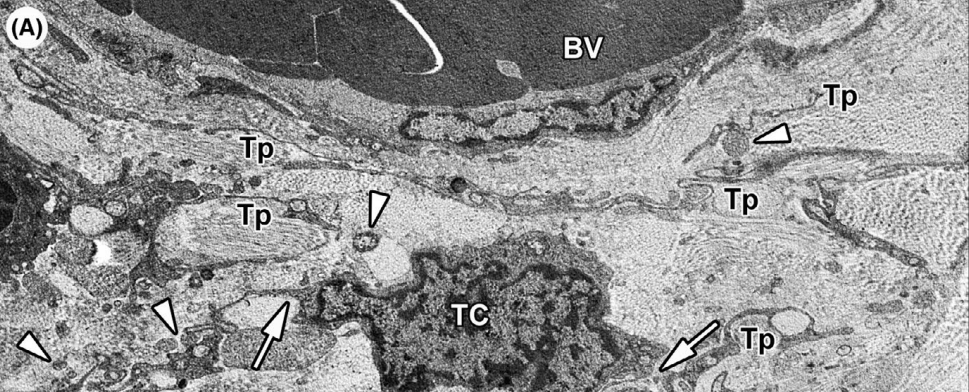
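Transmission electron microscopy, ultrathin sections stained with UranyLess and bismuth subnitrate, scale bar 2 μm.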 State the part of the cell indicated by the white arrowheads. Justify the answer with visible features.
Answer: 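Small round membrane-bound profiles lie in the stroma where the arrowheads point. They sit close to thin cytoplasmic processes.
Conclusion: extracellular vesicles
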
